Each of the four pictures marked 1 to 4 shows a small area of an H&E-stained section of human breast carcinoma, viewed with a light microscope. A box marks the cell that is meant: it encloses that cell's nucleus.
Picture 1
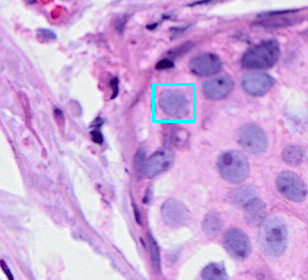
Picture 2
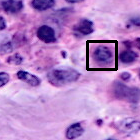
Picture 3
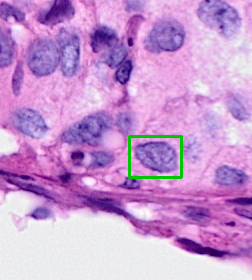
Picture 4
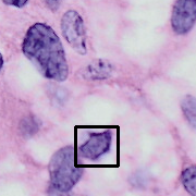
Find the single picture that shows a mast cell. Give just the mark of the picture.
2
